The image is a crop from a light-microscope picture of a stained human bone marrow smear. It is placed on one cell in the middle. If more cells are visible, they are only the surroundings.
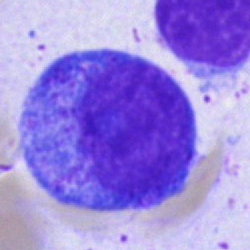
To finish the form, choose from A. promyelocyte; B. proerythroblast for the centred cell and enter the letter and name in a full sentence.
Here the right option is A, as the cell in the middle is a promyelocyte.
